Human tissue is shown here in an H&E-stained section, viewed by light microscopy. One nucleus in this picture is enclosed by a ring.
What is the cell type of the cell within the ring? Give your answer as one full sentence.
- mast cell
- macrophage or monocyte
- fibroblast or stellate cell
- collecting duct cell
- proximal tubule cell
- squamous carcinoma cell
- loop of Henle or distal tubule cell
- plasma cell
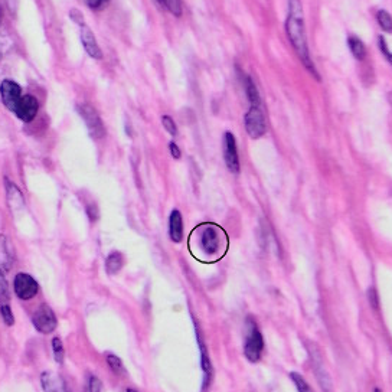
This is a plasma cell.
